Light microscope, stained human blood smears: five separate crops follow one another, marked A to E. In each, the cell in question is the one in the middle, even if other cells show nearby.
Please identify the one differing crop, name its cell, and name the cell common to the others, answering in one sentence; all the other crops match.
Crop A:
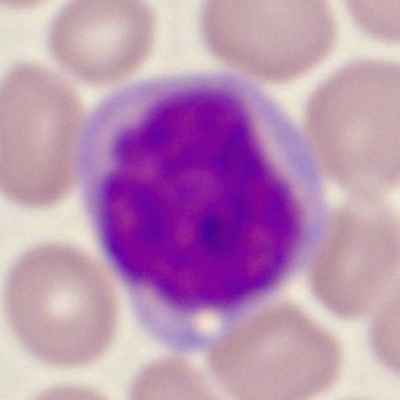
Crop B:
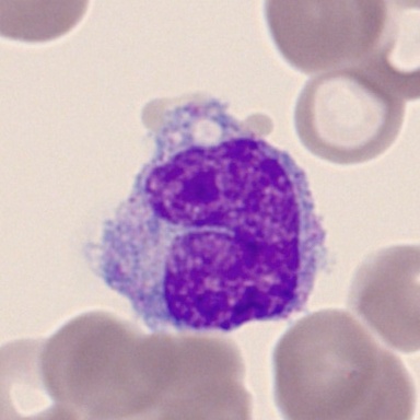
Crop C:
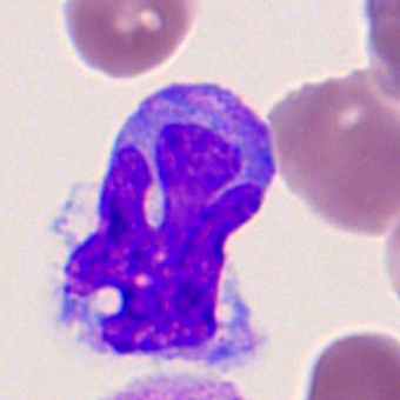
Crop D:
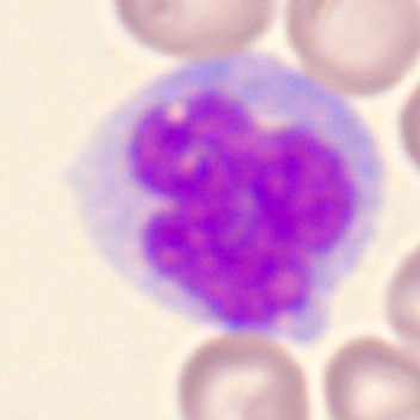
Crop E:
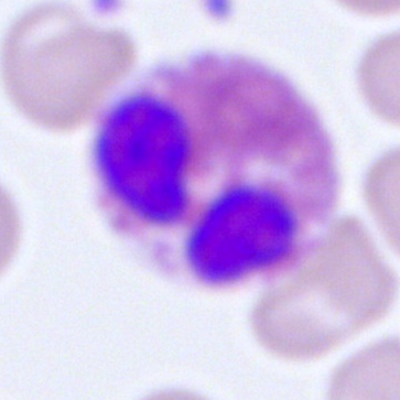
Of all the crops, only crop E shows an eosinophil; the others show monocytes.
